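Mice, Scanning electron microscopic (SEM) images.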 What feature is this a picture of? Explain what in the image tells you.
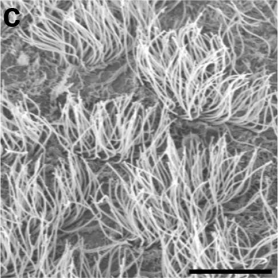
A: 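Dense tufts of long thin hair-like projections rise from the surface. The tufts are grouped in separate clusters across the surface. The answer: motile cilia bundles.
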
